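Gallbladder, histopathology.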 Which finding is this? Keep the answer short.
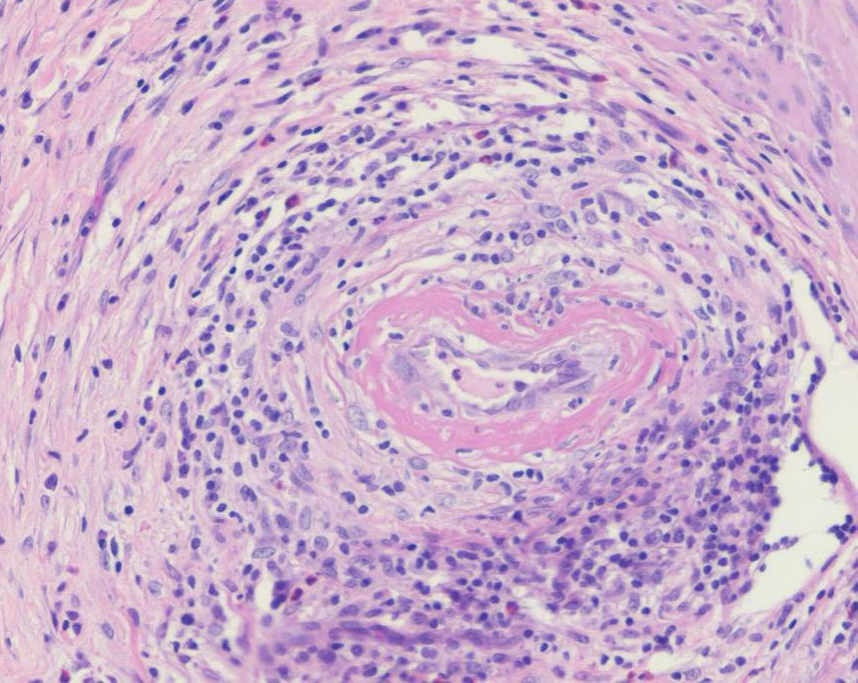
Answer: Fibrinoid necrosis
